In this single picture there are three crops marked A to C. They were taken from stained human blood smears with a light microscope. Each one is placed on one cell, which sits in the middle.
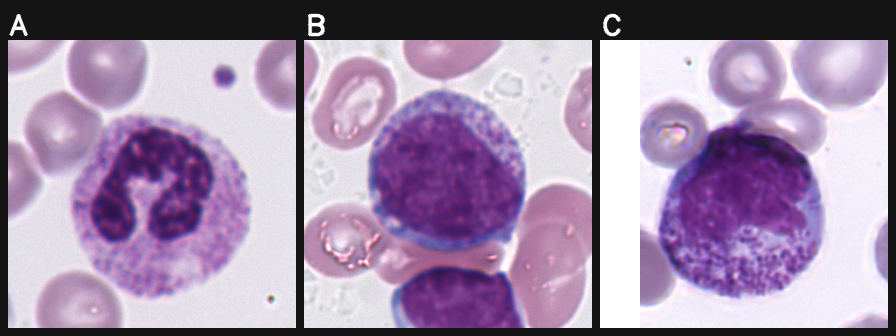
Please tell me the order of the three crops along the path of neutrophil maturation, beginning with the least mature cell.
B, C, A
